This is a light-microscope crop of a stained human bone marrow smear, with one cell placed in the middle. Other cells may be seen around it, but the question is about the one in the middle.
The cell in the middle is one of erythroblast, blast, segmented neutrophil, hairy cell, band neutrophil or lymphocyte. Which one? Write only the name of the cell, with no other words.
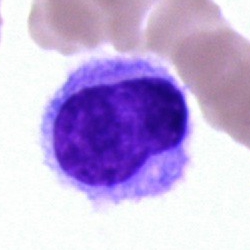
hairy cell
